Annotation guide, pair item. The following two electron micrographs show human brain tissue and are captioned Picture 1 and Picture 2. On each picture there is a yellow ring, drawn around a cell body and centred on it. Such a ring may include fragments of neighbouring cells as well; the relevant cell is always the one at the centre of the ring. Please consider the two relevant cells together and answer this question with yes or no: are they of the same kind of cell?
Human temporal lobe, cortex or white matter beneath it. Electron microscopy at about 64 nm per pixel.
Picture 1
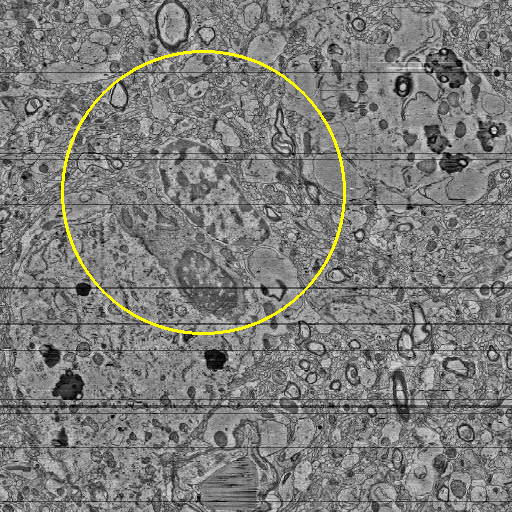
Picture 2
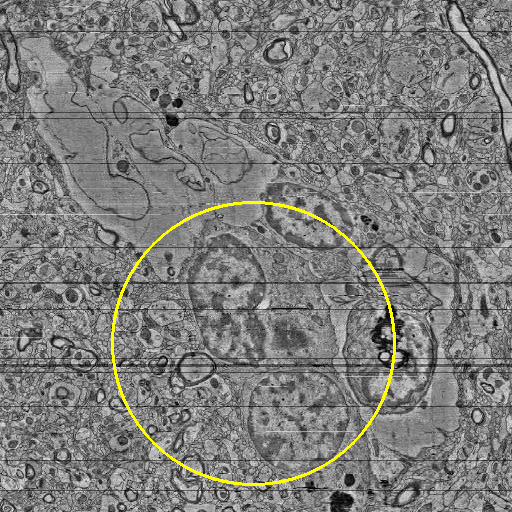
no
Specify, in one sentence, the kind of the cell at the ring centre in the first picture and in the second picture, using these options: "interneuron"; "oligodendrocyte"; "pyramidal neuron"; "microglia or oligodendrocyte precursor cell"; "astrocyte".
So the first is a microglial cell or oligodendrocyte precursor cell, the second an oligodendrocyte.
